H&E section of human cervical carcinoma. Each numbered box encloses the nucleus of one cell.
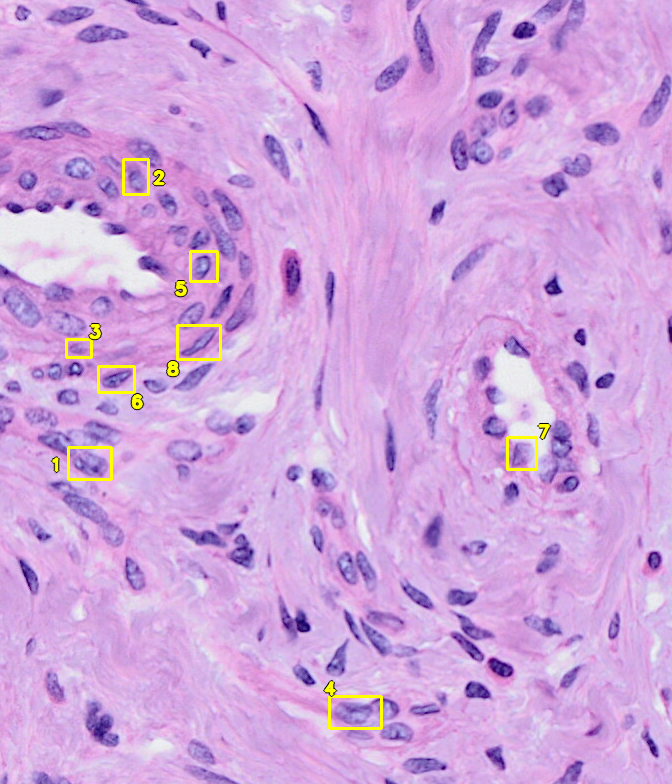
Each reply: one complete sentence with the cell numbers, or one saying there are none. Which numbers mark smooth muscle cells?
The cells marked by the numbers 2, 3, 5, 6 and 8 are smooth muscle cells.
